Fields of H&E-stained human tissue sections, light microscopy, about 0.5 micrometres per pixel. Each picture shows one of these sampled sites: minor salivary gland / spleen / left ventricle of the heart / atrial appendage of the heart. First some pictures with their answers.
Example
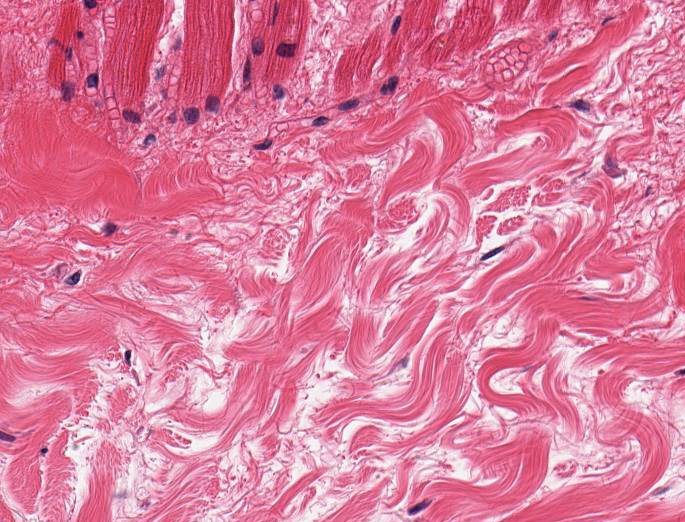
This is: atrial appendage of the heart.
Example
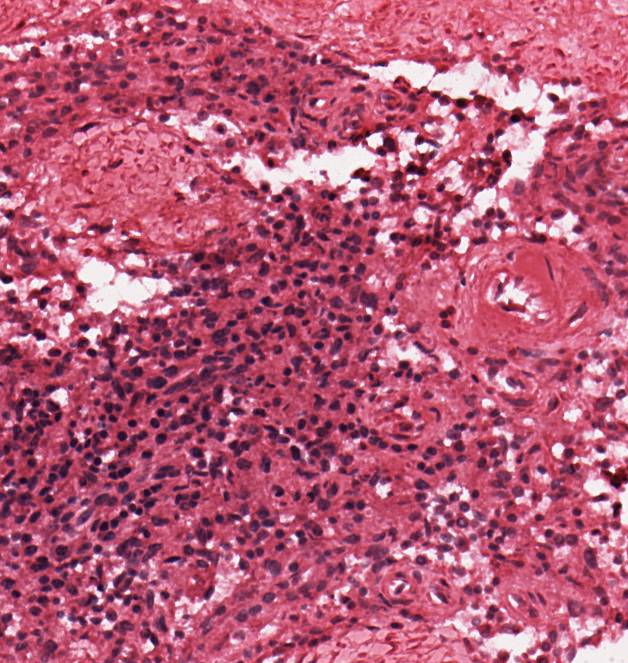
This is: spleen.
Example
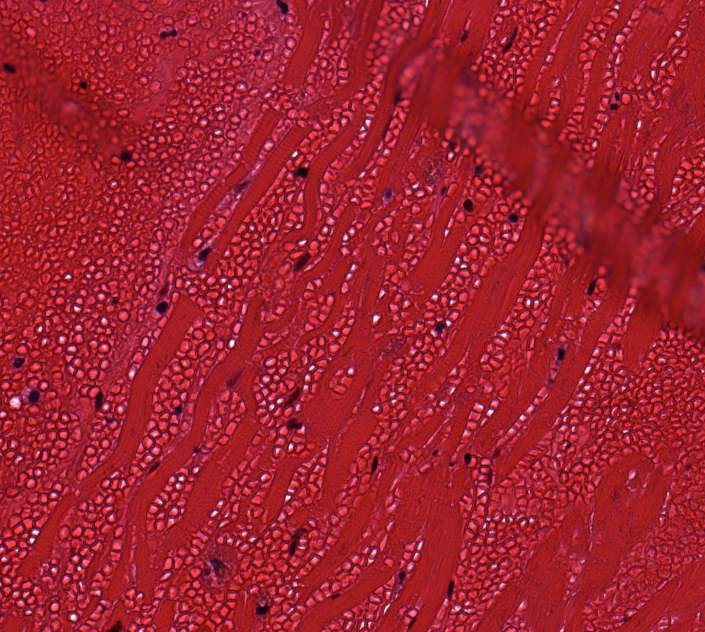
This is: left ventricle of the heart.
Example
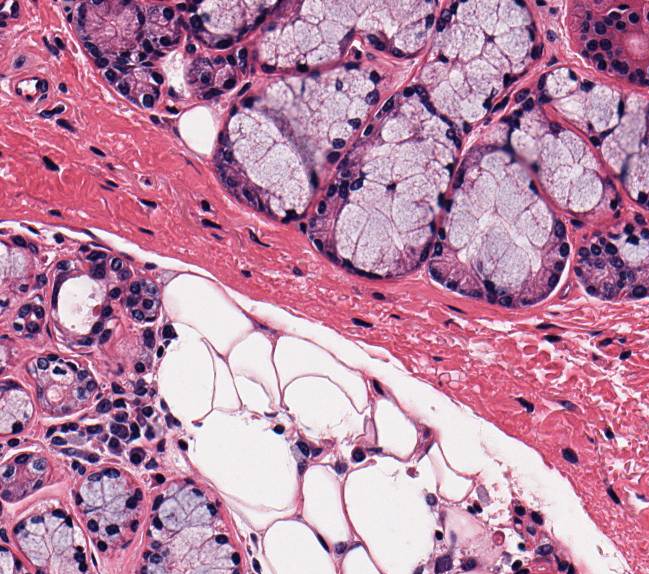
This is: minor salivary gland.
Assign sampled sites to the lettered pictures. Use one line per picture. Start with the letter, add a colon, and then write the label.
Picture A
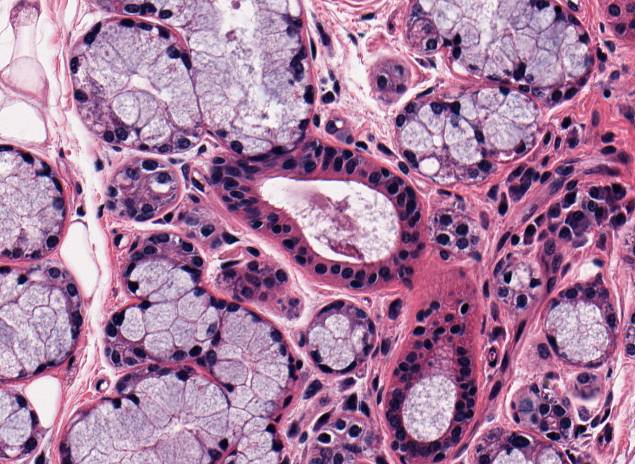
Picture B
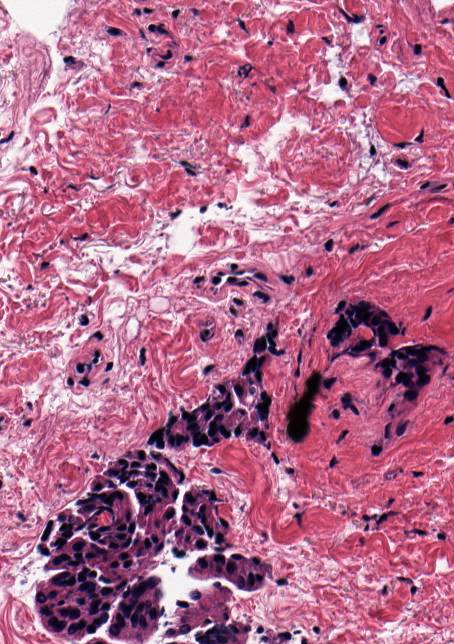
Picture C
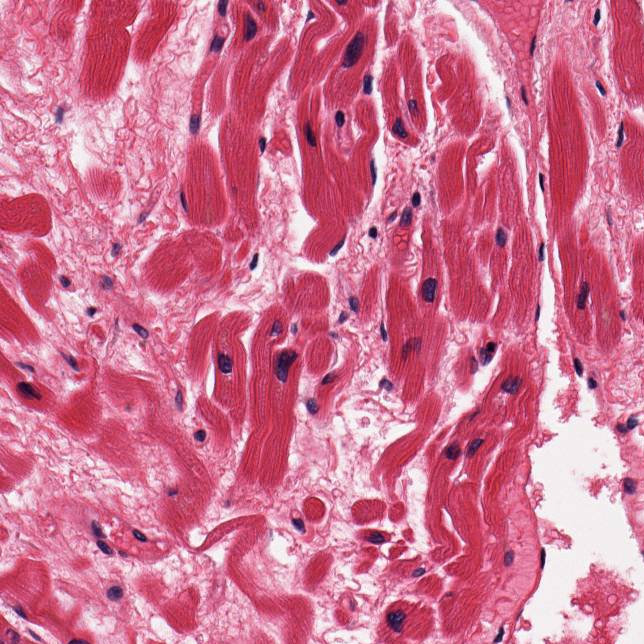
A: minor salivary gland.
B: minor salivary gland.
C: atrial appendage of the heart.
